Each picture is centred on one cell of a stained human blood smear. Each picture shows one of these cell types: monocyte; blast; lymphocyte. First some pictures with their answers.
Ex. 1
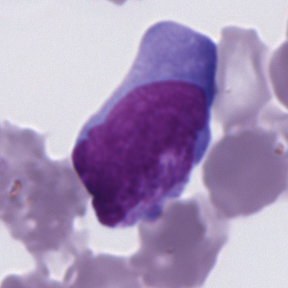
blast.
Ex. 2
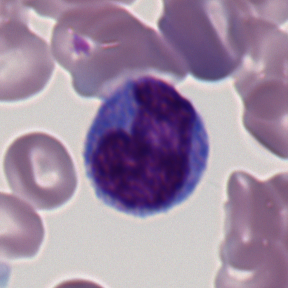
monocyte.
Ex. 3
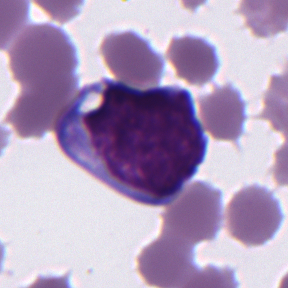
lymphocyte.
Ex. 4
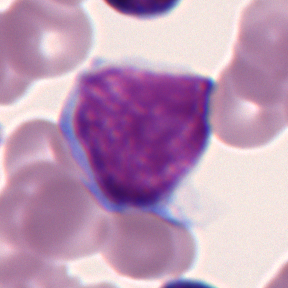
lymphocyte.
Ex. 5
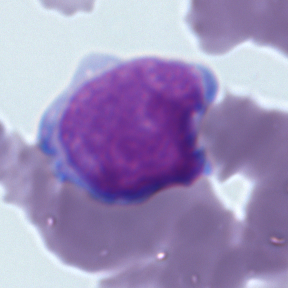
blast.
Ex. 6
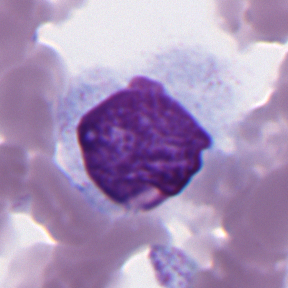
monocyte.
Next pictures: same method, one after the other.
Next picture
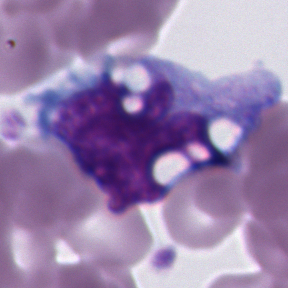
monocyte.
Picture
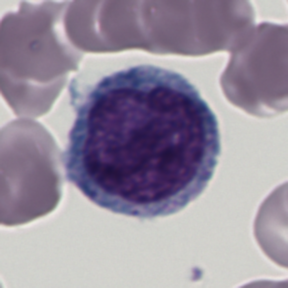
monocyte.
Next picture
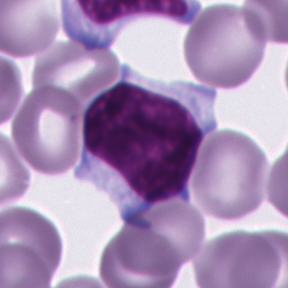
lymphocyte.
